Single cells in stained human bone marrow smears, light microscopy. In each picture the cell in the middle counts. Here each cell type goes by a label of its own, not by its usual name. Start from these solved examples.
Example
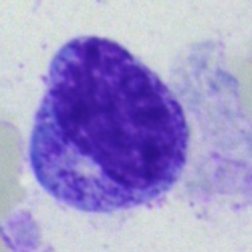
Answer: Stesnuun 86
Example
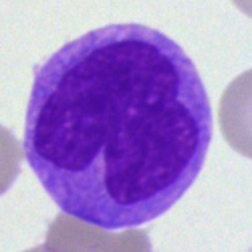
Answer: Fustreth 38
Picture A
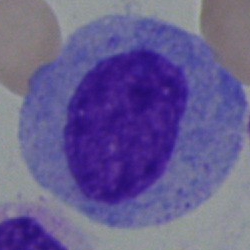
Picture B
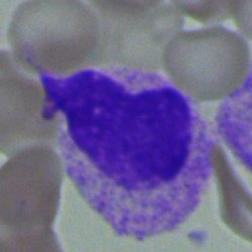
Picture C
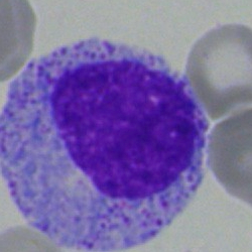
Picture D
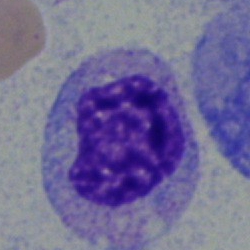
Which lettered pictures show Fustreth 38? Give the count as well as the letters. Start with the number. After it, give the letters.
0, none of them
